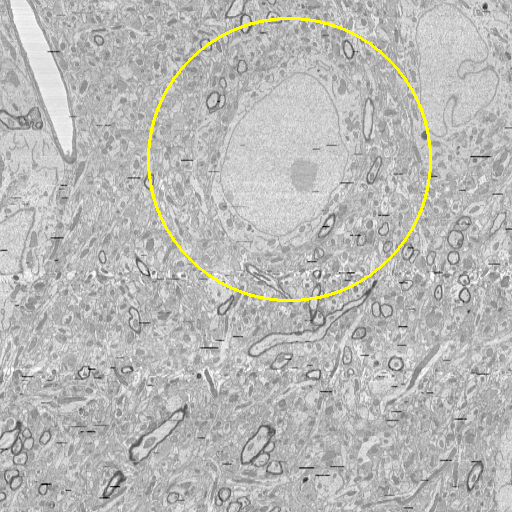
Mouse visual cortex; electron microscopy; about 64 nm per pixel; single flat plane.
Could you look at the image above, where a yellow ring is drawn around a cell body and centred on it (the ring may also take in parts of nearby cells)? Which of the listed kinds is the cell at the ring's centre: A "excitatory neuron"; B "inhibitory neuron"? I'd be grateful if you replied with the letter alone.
A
